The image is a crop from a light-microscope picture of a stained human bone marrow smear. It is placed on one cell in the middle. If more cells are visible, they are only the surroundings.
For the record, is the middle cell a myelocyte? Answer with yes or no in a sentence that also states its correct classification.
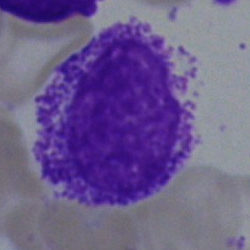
Yes, shown in the middle of the crop is a myelocyte.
